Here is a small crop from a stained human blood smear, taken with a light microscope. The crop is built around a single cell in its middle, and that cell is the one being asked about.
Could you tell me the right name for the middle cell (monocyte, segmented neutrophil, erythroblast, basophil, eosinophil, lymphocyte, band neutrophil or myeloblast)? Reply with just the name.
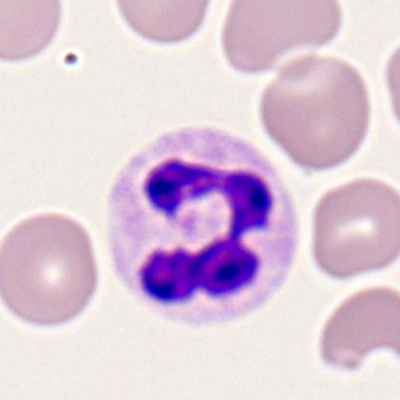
segmented neutrophil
